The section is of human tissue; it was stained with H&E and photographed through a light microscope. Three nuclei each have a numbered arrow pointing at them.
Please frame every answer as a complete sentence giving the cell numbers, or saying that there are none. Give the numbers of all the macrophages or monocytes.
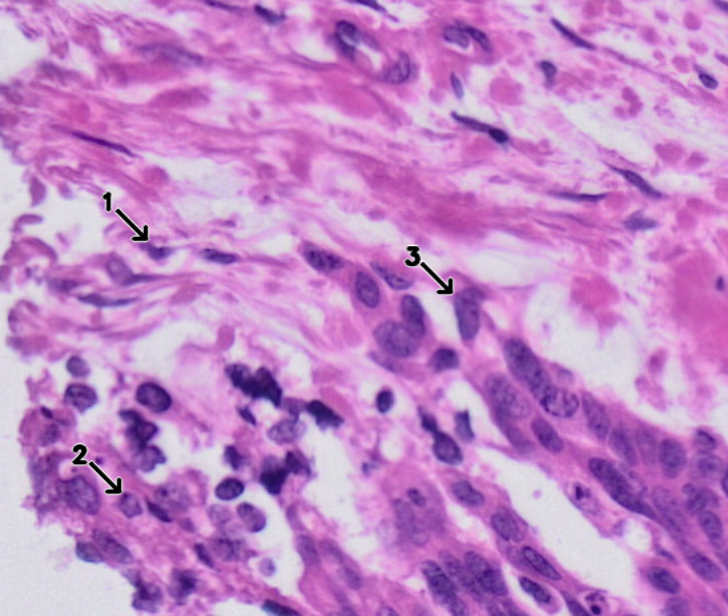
Cell 2 is the one numbered cell that is a macrophage or monocyte.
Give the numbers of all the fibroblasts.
Cell 1 is a fibroblast, which is true of none of the other numbered cells.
